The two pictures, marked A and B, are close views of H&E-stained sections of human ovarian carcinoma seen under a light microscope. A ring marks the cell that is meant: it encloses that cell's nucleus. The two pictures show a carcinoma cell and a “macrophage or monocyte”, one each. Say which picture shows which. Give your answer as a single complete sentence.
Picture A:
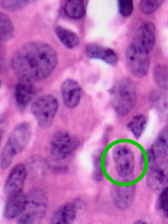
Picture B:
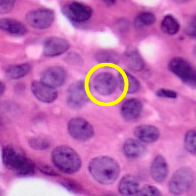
It is picture A that shows a “macrophage or monocyte”, and picture B that shows a carcinoma cell.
